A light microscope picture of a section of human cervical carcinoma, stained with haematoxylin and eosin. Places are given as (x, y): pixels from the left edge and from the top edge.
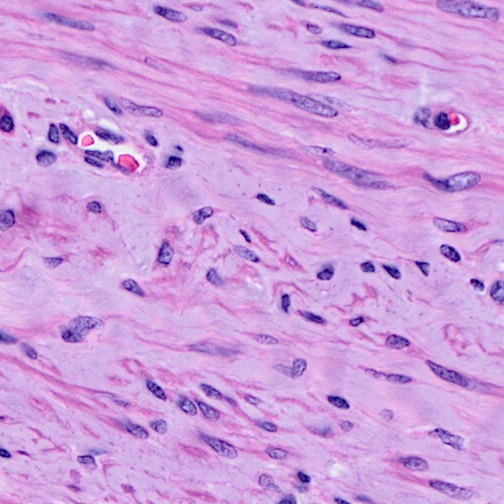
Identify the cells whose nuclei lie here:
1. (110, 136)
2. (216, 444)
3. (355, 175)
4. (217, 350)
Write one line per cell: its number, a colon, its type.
1: endothelial cell
2: smooth muscle cell
3: smooth muscle cell
4: smooth muscle cell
